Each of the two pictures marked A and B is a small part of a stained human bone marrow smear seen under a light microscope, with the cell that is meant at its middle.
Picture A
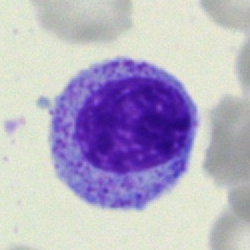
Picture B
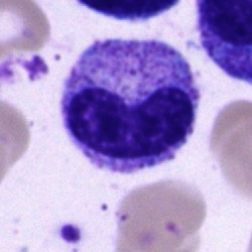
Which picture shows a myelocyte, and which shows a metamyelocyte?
A: myelocyte
B: metamyelocyte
